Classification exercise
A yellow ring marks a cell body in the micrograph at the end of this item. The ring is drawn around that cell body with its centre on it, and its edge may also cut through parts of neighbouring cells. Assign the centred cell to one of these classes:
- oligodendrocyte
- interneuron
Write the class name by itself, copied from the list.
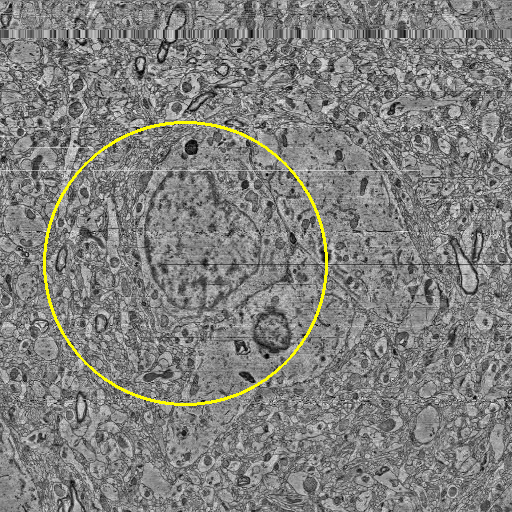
interneuron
